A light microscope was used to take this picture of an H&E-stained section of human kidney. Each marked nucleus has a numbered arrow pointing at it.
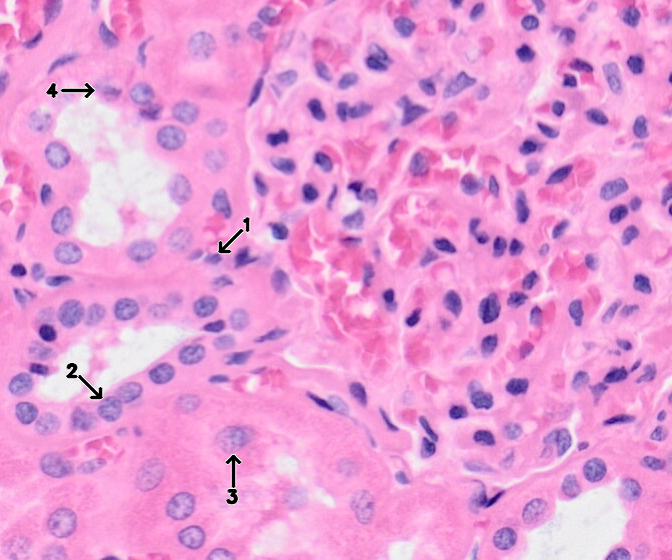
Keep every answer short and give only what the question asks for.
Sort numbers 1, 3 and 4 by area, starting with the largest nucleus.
3, 4, 1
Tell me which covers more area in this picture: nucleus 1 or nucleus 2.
2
